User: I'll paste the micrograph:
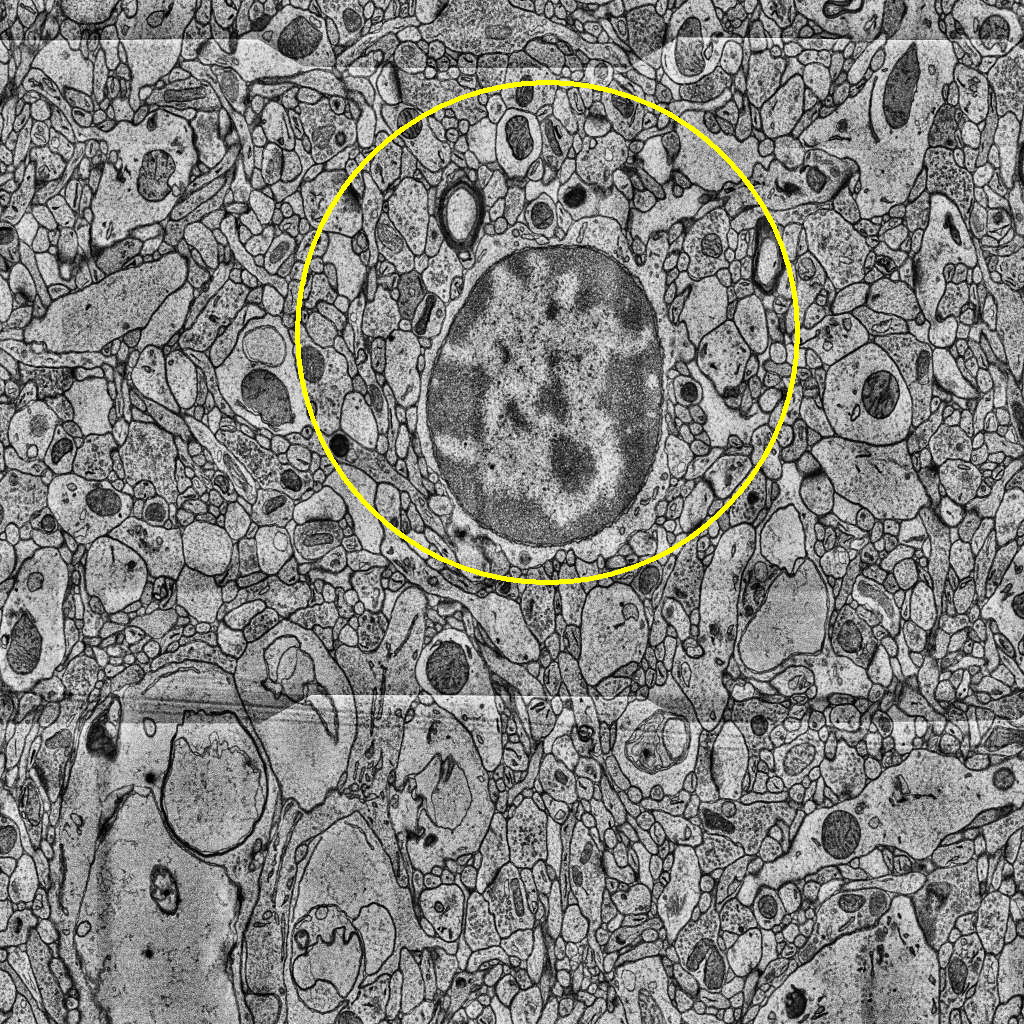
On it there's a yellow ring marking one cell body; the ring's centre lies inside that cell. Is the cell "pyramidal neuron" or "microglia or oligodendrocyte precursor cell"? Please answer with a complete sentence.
The cell at the centre of the yellow ring is a microglial cell or oligodendrocyte precursor cell.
